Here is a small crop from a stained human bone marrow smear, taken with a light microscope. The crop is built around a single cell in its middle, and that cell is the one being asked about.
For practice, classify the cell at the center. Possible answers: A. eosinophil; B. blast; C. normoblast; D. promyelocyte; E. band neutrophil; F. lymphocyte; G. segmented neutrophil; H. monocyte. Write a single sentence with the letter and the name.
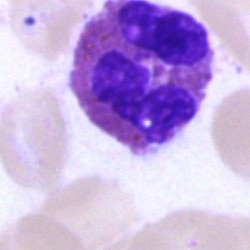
The correct choice is option A, which identifies the middle cell as an eosinophil.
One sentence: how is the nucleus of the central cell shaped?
Kindly observe that the nucleus forms two or more lobes.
